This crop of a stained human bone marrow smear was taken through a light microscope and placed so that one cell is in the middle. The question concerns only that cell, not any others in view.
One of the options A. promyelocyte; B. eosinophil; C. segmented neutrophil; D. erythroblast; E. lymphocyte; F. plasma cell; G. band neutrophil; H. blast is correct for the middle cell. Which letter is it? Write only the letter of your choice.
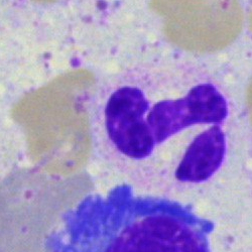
C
